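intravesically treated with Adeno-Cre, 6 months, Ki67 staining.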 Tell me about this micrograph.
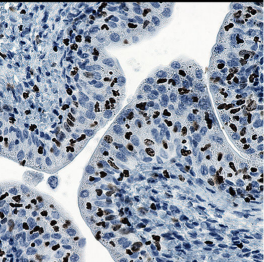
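Here the bladder urothelium lines rounded folds around narrow white lumens, and it is thick, many cells deep. Most nuclei are pale blue and oval, but a large number stand out as solid dark brown nuclei. These brown nuclei are not confined to the bottom row of cells beside the connective tissue; they are scattered through the whole thickness of the epithelium, up toward the surface. The cytoplasm stays unstained and pale. Compare this with a normal lining, where brown nuclei would be scarce and the epithelium only a few cells thick.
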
